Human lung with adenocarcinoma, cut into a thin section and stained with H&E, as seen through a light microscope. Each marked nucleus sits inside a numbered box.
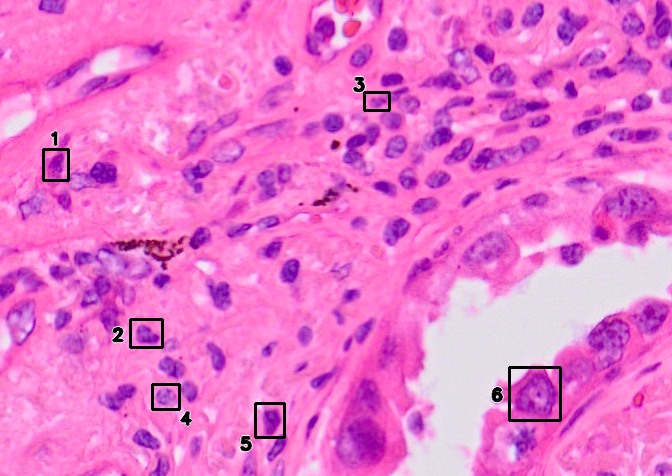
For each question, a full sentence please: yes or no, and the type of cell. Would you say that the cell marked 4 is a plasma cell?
No, the marker 4 sits on a lymphocyte, not on a plasma cell.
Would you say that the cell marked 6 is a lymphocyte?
No, the cell marked 6 is a carcinoma cell rather than a lymphocyte.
